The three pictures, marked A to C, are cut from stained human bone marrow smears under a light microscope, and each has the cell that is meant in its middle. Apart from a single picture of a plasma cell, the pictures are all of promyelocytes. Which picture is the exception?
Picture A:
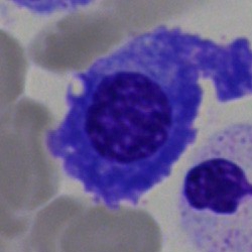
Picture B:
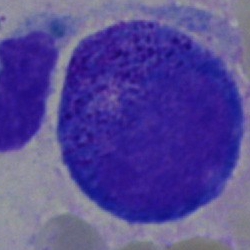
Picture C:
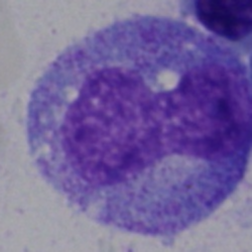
A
